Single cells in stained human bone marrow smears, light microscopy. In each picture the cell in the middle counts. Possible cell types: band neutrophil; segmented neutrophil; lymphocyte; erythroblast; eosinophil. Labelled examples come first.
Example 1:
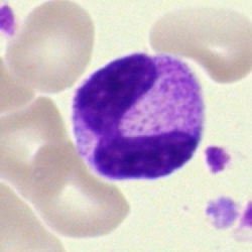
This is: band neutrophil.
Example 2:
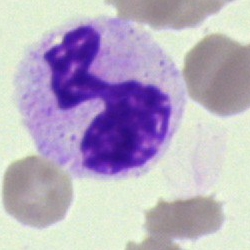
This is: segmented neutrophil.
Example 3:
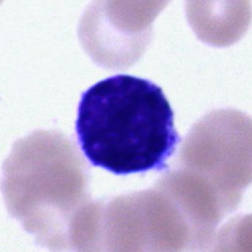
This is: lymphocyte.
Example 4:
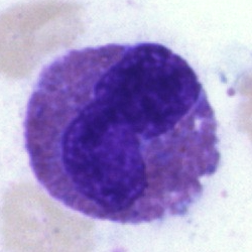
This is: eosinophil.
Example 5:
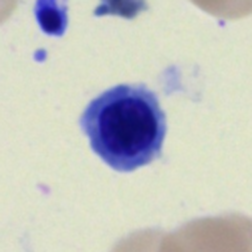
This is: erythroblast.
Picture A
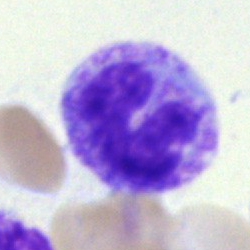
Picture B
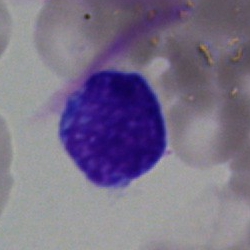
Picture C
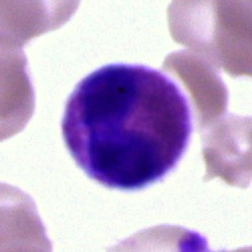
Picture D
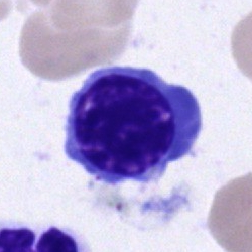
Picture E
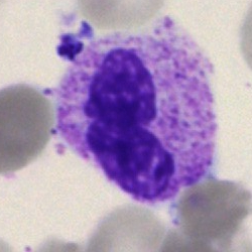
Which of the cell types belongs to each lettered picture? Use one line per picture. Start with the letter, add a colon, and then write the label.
A: band neutrophil.
B: lymphocyte.
C: eosinophil.
D: erythroblast.
E: band neutrophil.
